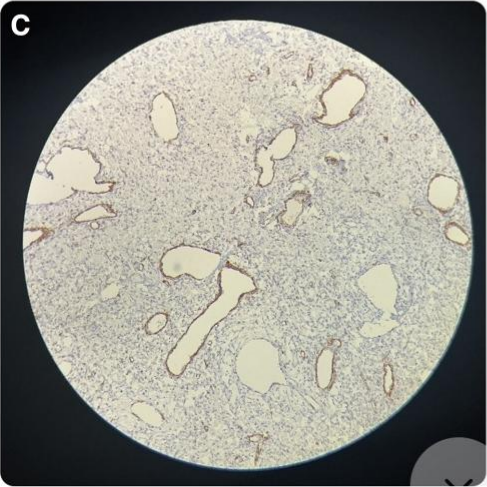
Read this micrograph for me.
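Here many dilated vascular spaces of varied size and shape lie scattered in a pale, blue-counterstained stroma. The stroma between the spaces holds many small bluish nuclei and is itself mostly unstained. Some tiny vessels also show the same brown rim.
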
